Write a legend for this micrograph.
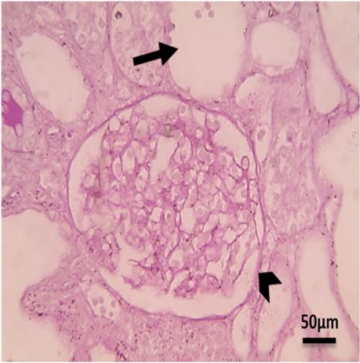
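This is kidney cortex with a large glomerulus in the middle, surrounded by tubules. The glomerular tuft is enlarged and shows a lace-like network of pink-outlined capillary loops, with a clear space between the tuft and the surrounding capsule. Many of the surrounding tubules are markedly widened, with large, empty, rounded lumina and a thin lining epithelium. The interstitium between the tubules is narrow, and the tissue overall stains pale pink-purple.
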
